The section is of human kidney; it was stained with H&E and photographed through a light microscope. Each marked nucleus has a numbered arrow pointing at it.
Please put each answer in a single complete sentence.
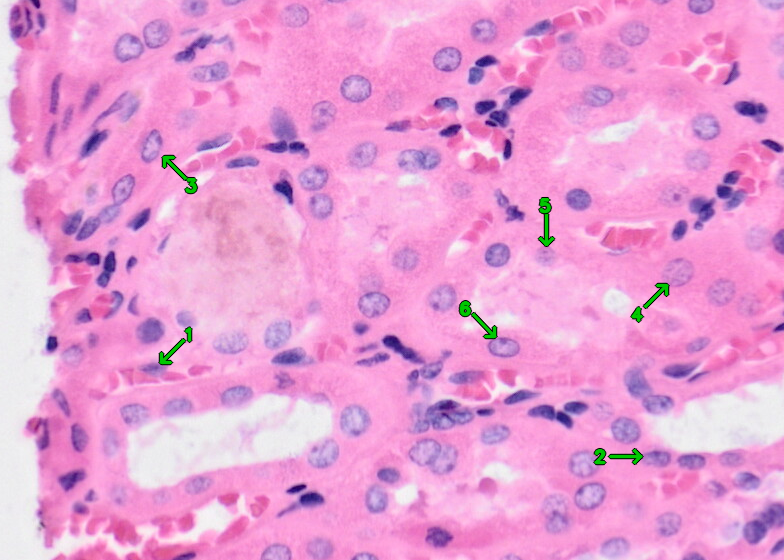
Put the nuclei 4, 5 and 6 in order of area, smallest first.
The order from the smallest nucleus to the largest is 5, 6, 4.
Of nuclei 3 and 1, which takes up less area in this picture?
Nucleus 1 covers less area, with nucleus 3 about 2 times as large.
